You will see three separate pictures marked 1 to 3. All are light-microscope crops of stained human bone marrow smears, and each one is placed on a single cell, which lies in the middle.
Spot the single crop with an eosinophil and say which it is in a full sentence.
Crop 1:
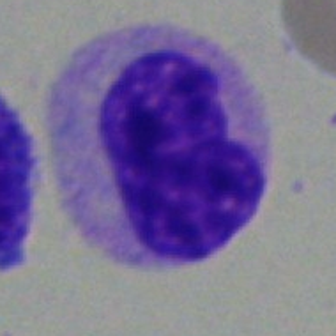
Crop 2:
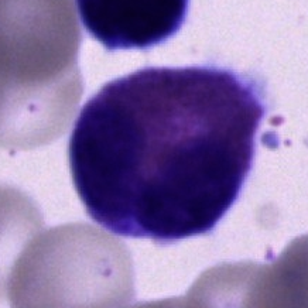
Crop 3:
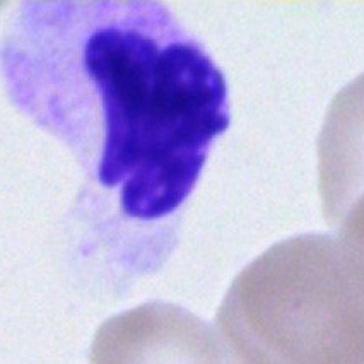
Crop 2 is the crop containing an eosinophil.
